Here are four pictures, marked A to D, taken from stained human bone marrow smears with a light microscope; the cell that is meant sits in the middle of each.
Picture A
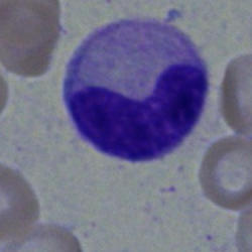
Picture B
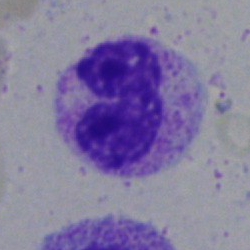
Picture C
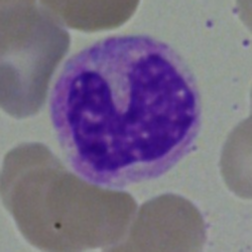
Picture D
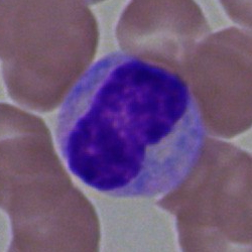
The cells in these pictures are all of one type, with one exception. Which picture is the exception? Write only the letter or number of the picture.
D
